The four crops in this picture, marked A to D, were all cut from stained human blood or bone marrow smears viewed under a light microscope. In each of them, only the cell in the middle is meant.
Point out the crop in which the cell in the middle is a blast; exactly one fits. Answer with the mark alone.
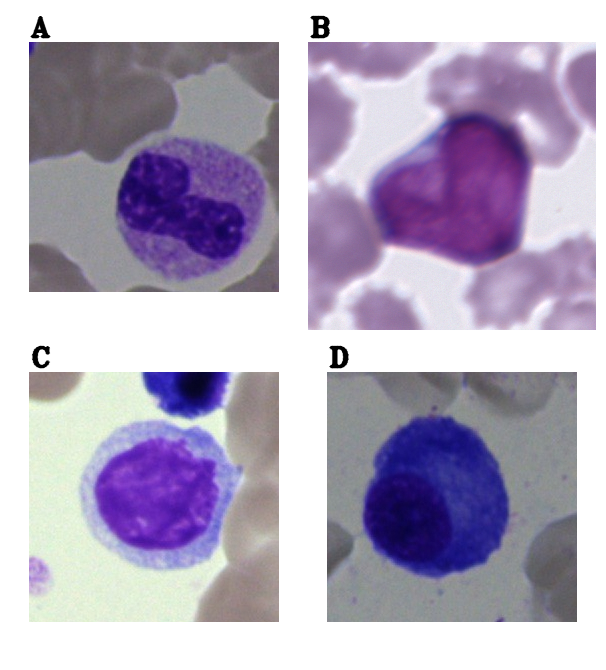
B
